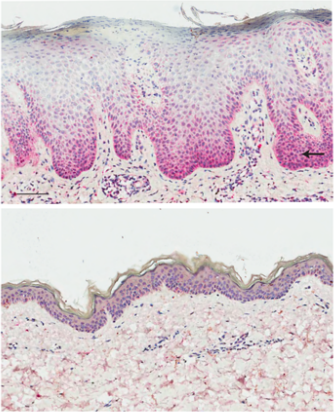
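These are two sections of skin, each showing a stratified squamous epidermis over the dermis. In the upper section the epidermis is greatly thickened, with long downward rete ridges alternating with narrow dermal papillae, and the pink-red stain is strongest in the deepest epidermal rows, fading toward the surface. Small blue nuclei of scattered cells lie within the dermal papillae and upper dermis of the thickened section.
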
